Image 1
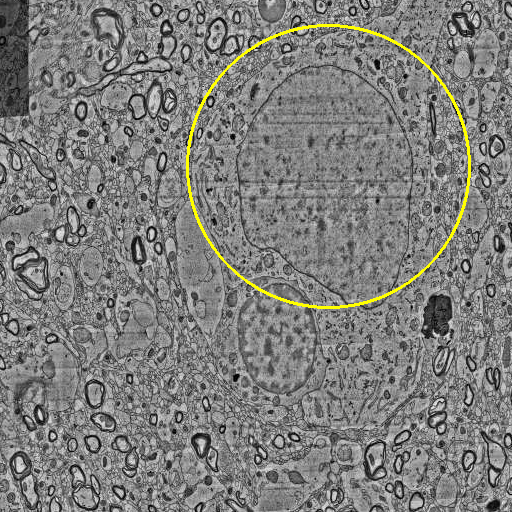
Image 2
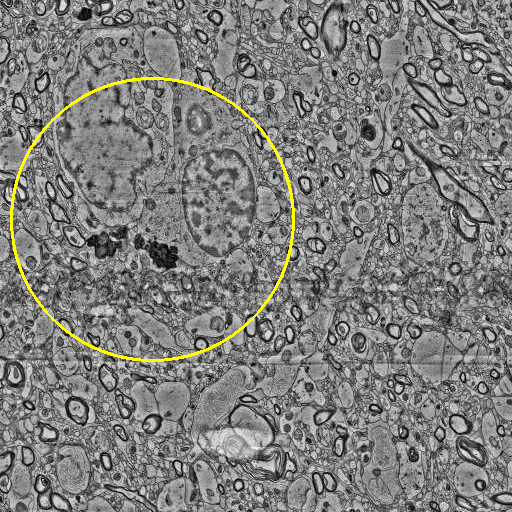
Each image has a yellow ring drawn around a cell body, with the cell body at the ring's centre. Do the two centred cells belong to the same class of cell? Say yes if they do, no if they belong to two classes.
no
